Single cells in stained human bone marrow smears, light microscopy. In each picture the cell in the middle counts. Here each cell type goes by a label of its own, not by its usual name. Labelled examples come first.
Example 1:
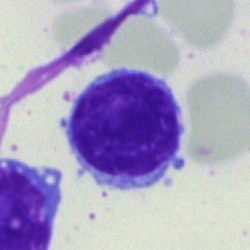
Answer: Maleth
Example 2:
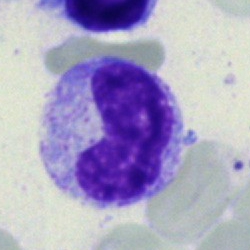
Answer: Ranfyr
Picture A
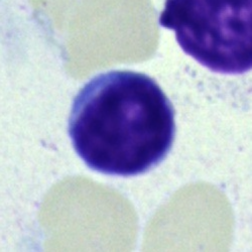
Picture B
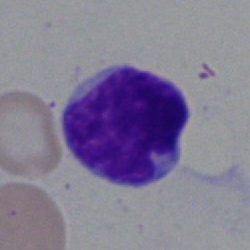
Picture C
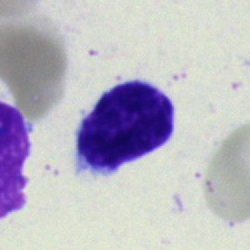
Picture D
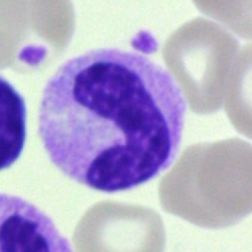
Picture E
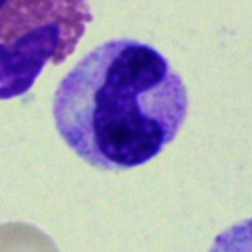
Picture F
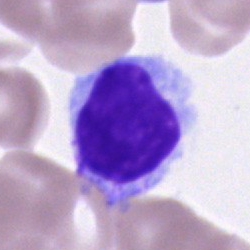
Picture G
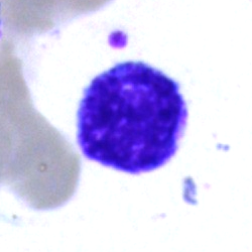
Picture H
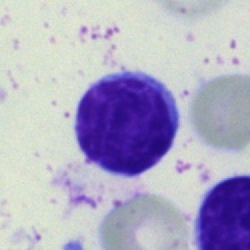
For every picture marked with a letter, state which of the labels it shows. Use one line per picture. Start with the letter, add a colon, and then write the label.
A: Maleth
B: Maleth
C: Maleth
D: Ranfyr
E: Ranfyr
F: Maleth
G: Maleth
H: Maleth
